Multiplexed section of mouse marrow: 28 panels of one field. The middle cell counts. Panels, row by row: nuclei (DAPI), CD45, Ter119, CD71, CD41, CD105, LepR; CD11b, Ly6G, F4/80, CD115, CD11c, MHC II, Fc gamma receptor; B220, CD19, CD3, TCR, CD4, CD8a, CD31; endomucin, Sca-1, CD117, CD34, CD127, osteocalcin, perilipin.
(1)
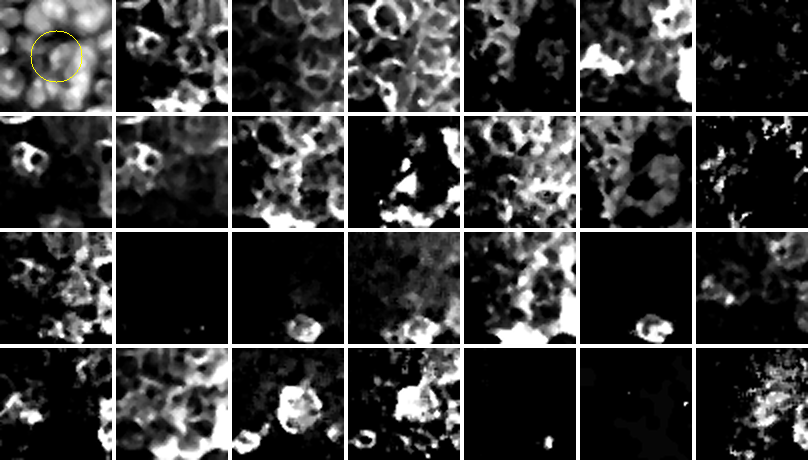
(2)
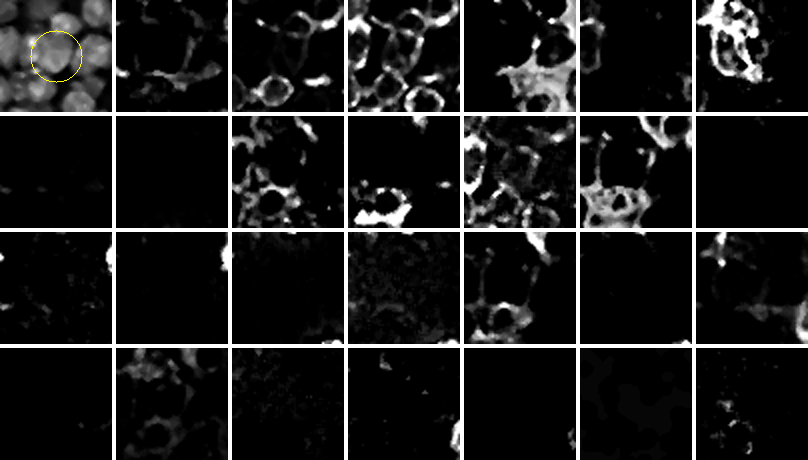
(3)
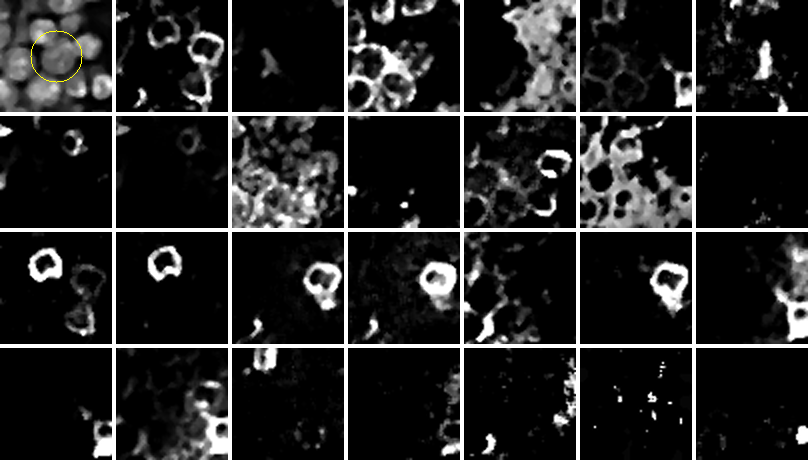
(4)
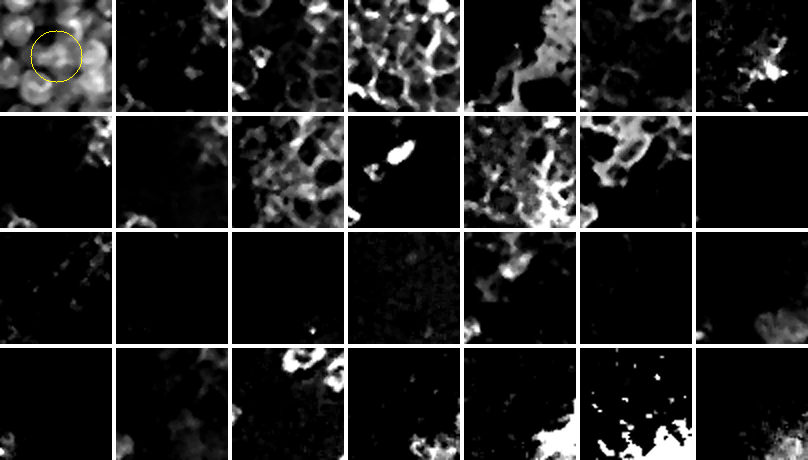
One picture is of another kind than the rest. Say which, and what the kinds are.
Picture 1 shows an erythroid progenitor (CFU-E); the rest show LepR-positive perivascular cells.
